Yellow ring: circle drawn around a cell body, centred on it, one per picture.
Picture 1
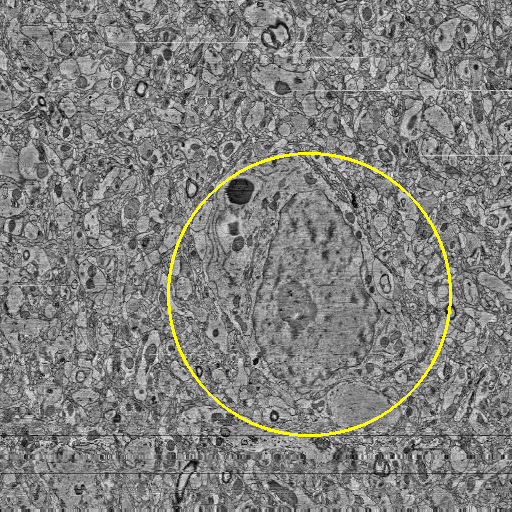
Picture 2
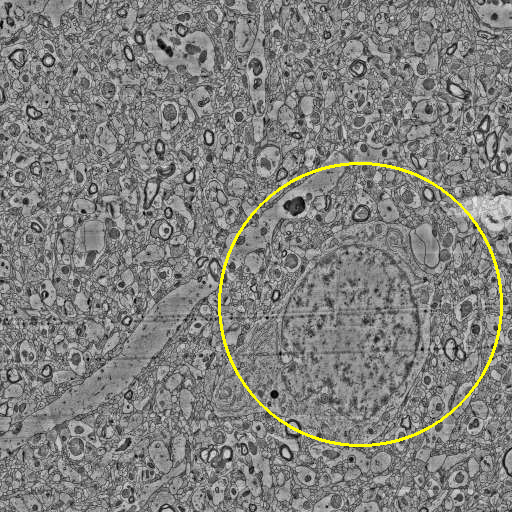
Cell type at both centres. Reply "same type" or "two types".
same type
